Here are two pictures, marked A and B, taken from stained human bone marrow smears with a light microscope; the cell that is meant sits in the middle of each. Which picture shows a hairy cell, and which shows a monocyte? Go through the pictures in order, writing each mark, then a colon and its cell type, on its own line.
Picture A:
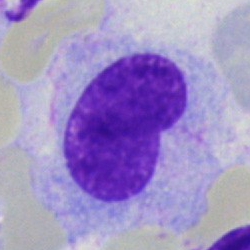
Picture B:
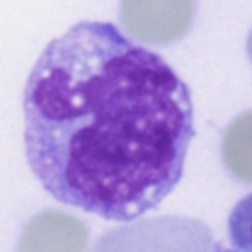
A: hairy cell
B: monocyte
